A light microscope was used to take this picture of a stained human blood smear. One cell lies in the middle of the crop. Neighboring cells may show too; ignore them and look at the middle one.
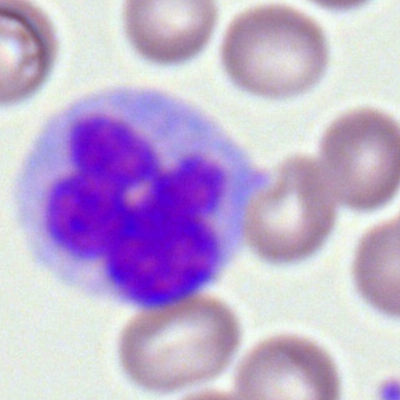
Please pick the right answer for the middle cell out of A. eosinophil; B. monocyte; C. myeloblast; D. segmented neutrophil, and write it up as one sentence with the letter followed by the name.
That cell in the center is a monocyte, hence option B.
